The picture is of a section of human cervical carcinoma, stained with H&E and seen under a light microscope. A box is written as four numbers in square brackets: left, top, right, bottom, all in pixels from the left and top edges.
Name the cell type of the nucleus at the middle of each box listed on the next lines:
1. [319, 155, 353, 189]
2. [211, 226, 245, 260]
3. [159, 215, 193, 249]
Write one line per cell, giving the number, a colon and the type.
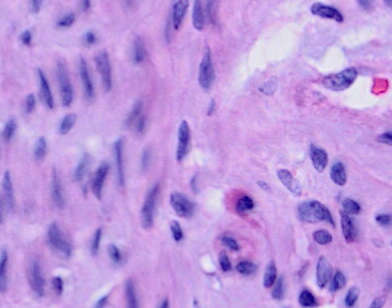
1: fibroblast
2: endothelial cell
3: fibroblast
